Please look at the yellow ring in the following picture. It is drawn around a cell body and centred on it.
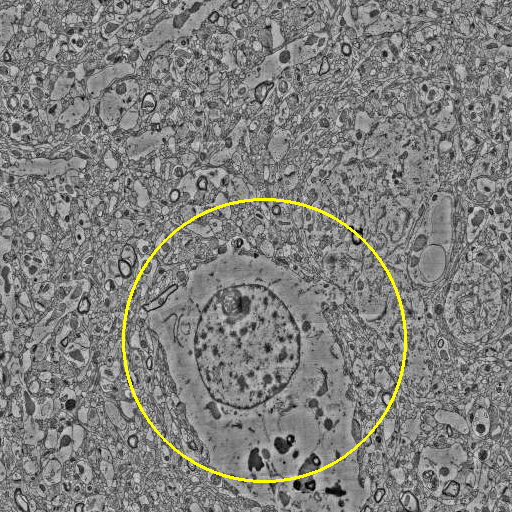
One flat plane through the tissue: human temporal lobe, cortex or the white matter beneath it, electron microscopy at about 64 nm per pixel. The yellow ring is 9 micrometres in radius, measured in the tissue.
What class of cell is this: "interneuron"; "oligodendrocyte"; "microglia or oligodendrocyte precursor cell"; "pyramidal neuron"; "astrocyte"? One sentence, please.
The ring surrounds the cell body of an astrocyte.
